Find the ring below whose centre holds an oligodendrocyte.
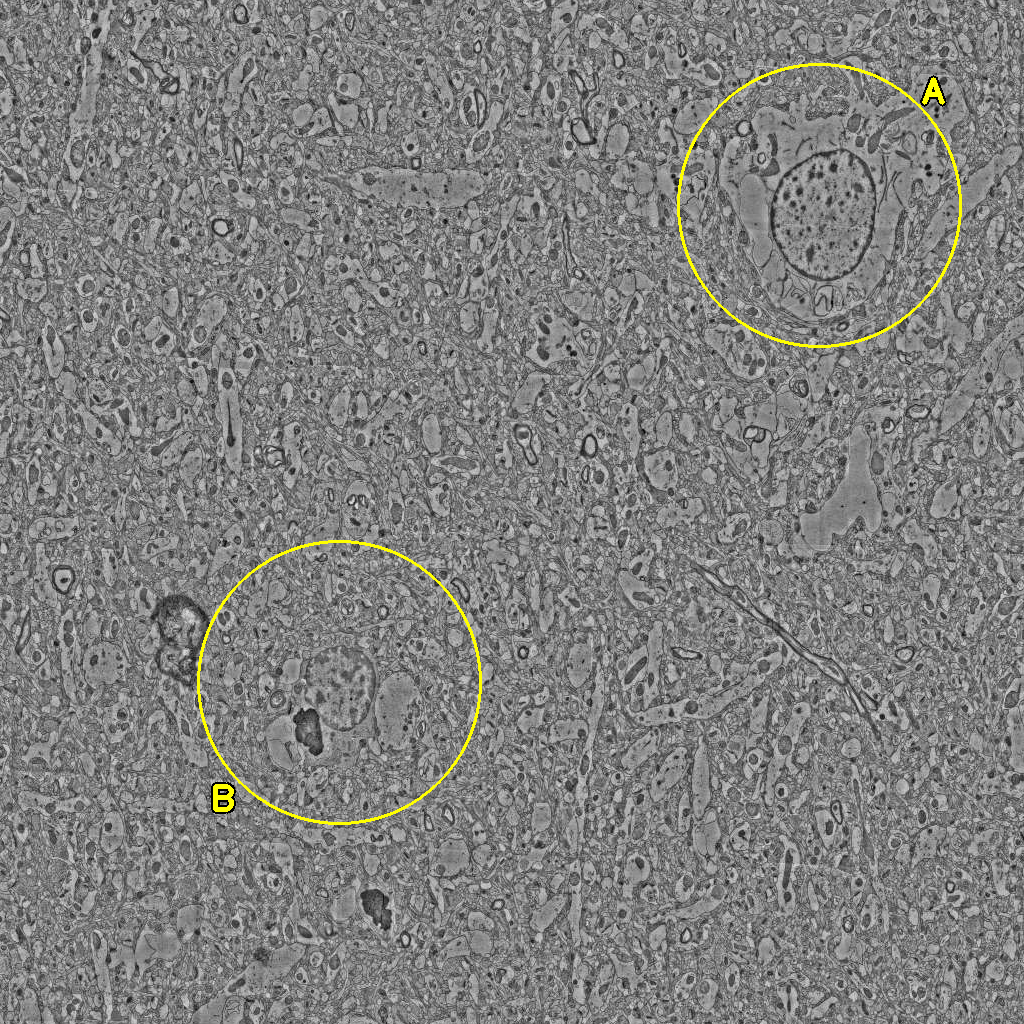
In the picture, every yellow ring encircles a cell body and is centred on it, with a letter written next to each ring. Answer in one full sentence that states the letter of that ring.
The ring centred on the cell asked for in the picture carries the letter B.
